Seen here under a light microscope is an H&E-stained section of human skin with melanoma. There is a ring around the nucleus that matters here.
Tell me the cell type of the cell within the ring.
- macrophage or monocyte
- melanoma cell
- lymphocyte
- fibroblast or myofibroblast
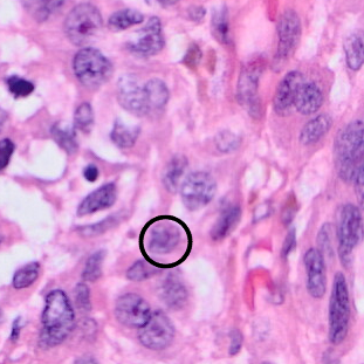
melanoma cell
